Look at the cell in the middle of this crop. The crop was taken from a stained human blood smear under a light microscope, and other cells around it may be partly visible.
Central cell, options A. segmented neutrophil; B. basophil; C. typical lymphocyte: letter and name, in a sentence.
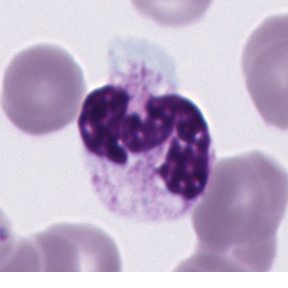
The correct identification, given in option A, is that the central cell is a segmented neutrophil.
